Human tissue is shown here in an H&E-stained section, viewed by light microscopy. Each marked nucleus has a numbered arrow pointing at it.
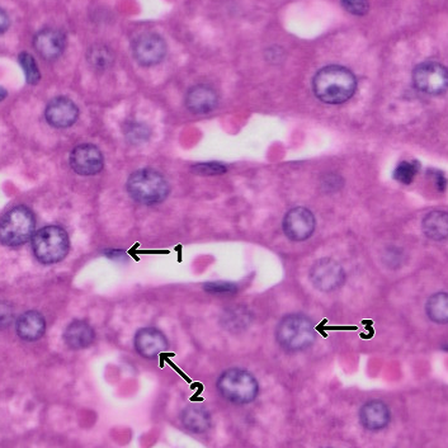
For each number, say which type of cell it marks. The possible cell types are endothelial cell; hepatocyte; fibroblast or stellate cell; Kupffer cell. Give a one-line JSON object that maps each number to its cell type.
{"1": "endothelial cell", "2": "hepatocyte", "3": "hepatocyte"}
